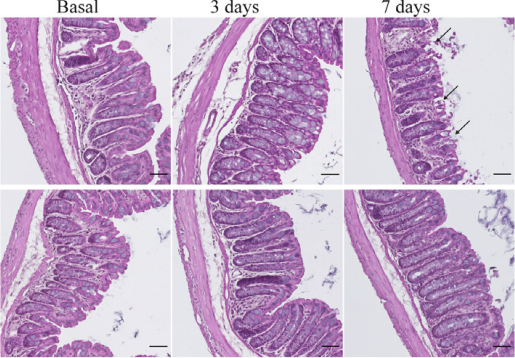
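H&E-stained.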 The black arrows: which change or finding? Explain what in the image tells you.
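In one image, the arrows point to the mucosal surface where the regular row of glands is broken and ragged. The glands near the arrows have lost their regular tubular outline, with loose debris at the luminal side.
Hence: crypt destruction.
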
